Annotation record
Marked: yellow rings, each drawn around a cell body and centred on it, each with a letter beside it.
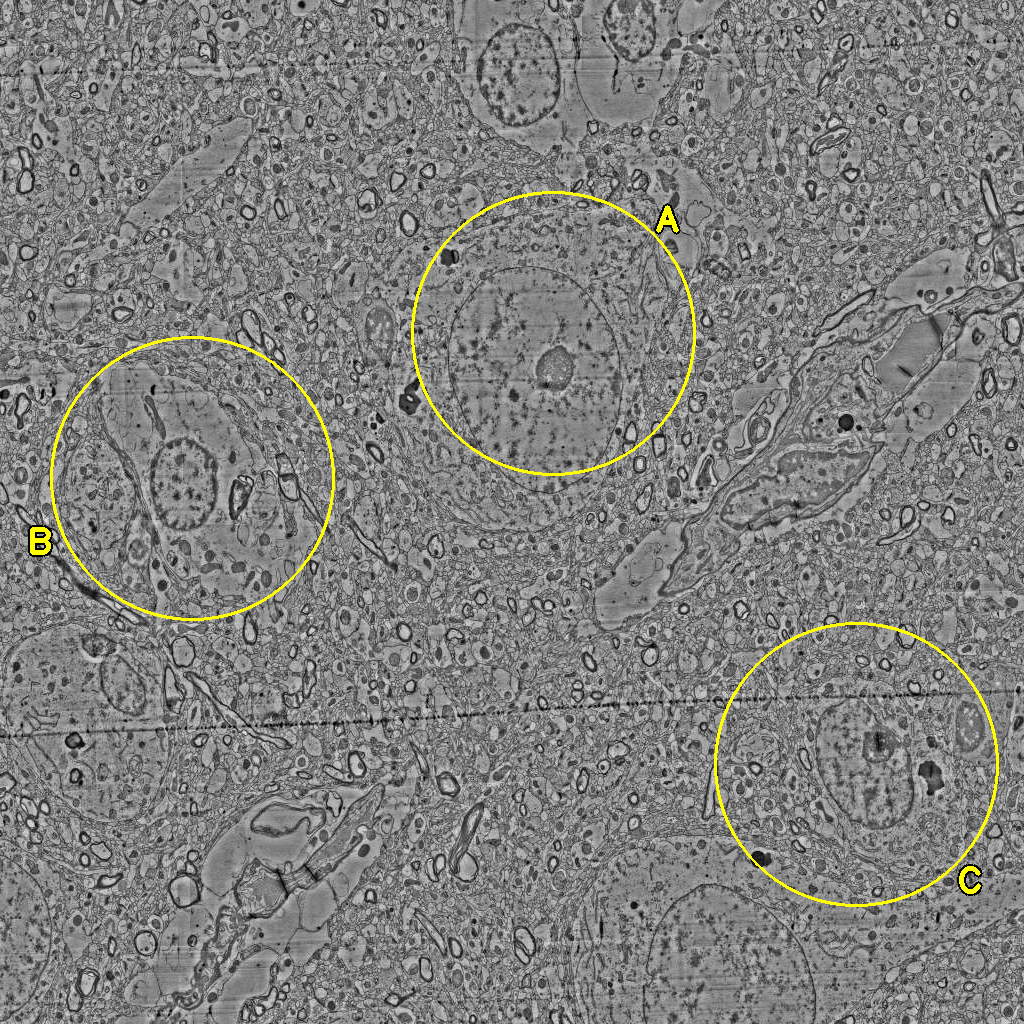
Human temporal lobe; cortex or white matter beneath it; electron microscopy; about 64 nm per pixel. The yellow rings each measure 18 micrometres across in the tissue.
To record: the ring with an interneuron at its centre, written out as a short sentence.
The ring centred on it is ring C.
